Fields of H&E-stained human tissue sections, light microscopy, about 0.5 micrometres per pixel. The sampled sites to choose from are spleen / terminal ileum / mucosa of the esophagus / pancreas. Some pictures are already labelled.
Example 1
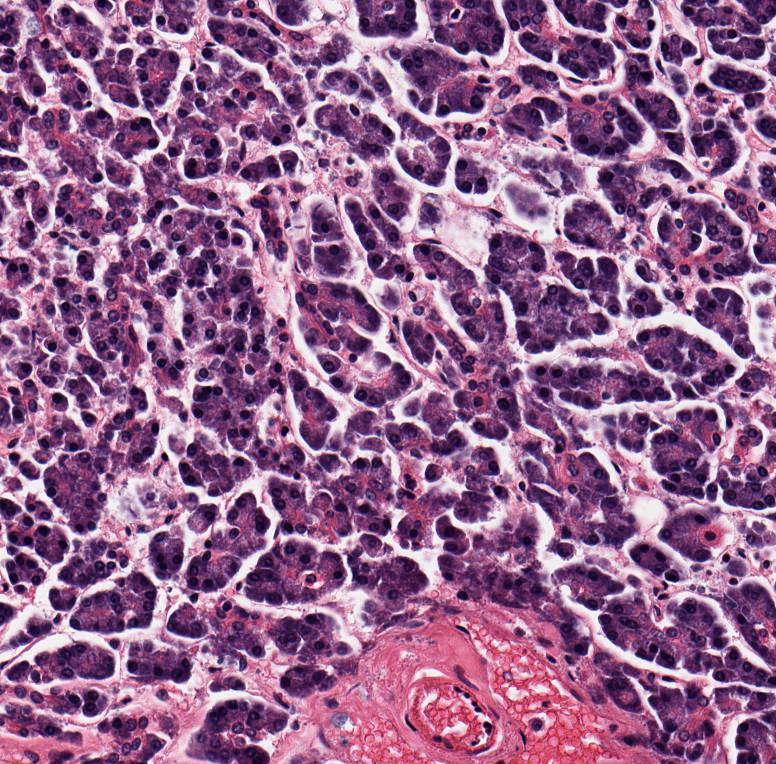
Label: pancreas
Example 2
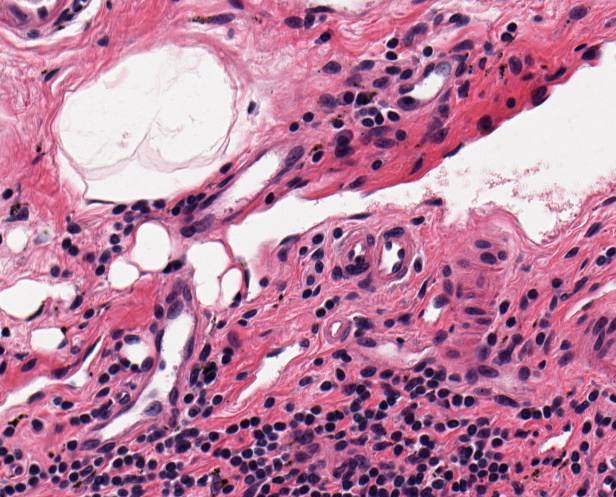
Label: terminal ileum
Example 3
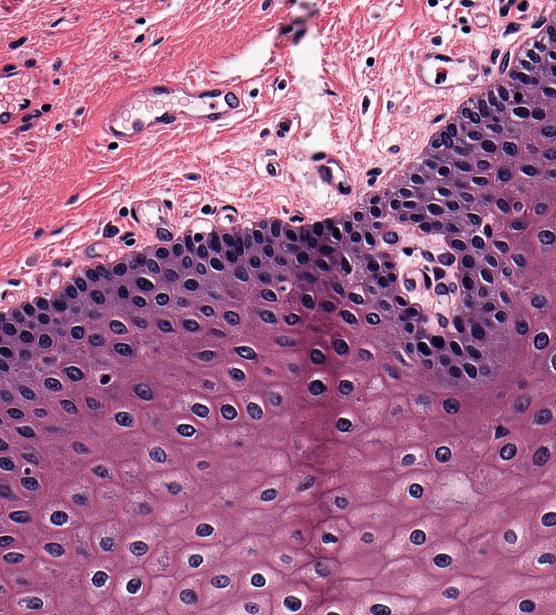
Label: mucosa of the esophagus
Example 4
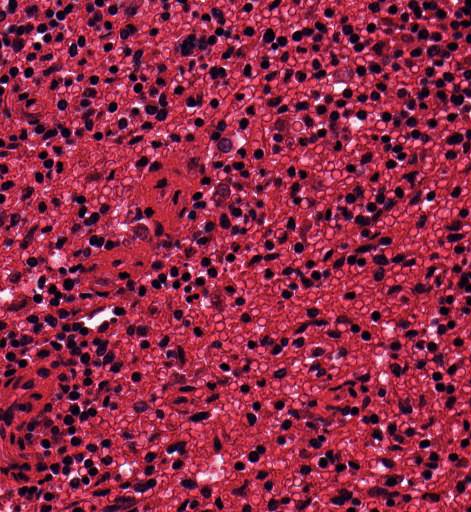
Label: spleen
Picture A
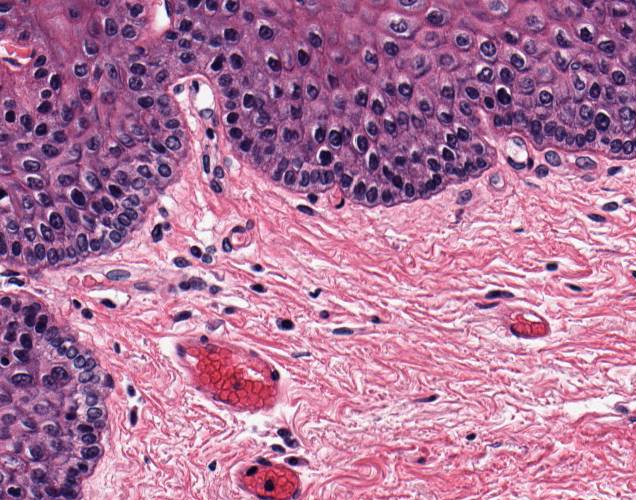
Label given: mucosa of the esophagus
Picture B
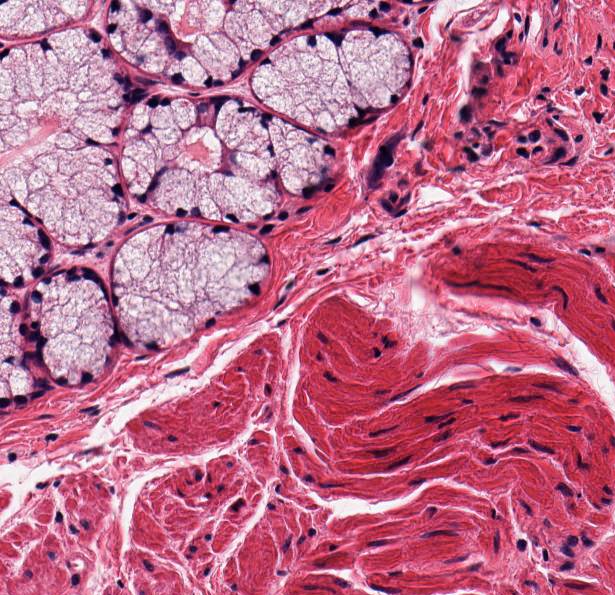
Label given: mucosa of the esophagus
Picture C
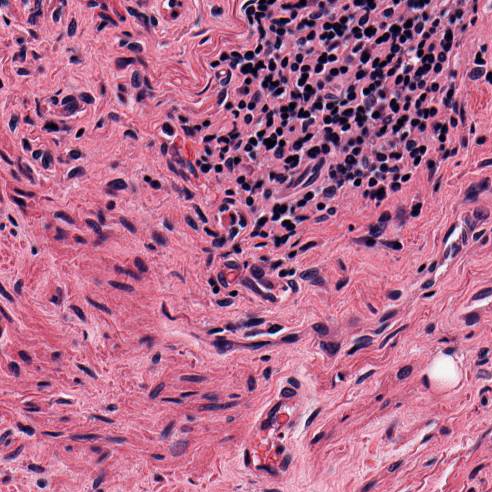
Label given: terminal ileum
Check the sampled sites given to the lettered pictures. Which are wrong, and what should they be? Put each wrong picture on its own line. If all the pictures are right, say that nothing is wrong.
Every label is right.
